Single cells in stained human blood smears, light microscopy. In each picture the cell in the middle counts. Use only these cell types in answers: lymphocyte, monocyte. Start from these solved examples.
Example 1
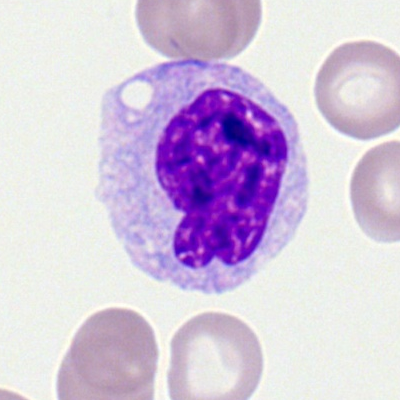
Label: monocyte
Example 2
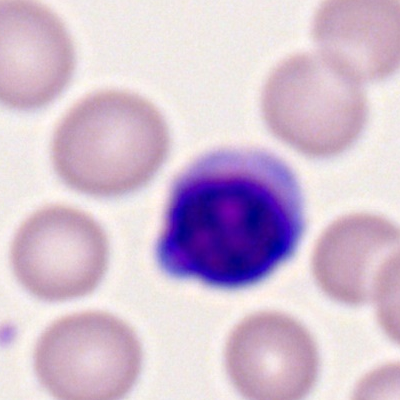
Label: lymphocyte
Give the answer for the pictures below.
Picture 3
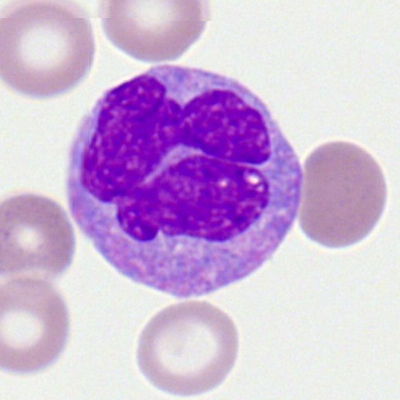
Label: monocyte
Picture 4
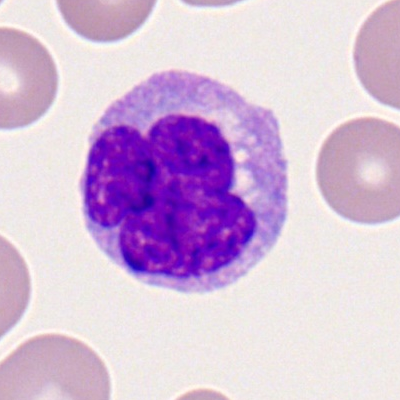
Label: monocyte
